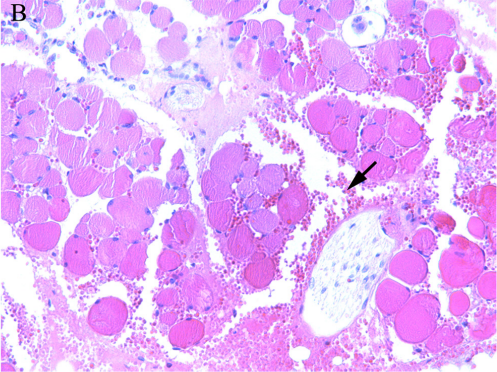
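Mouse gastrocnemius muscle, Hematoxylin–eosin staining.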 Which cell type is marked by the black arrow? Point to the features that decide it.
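Erythrocytes. The arrow points to many small, round, anucleate red-pink bodies. These bodies lie scattered in the spaces between muscle fibres.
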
